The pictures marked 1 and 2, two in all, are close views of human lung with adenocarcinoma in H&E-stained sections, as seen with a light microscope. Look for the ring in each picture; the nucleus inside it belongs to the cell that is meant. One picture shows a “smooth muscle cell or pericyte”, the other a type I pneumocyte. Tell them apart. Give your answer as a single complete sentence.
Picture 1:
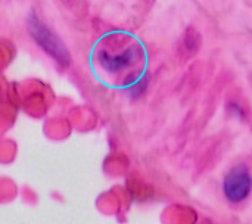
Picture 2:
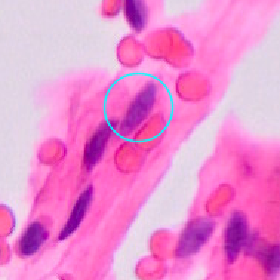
It is picture 1 that shows a “smooth muscle cell or pericyte”, and picture 2 that shows a type I pneumocyte.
